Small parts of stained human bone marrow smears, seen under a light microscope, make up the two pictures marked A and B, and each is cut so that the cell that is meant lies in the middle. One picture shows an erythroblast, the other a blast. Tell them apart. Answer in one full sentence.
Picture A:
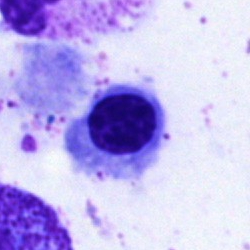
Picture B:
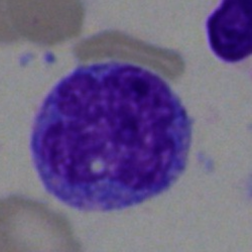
In picture A the cell is an erythroblast; in picture B, a blast.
